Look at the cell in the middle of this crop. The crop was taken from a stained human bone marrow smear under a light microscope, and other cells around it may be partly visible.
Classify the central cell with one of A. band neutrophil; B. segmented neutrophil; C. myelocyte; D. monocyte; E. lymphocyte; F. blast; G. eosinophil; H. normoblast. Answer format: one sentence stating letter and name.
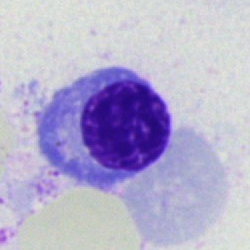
The central cell in this crop is a normoblast, corresponding to option H, the correct option.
